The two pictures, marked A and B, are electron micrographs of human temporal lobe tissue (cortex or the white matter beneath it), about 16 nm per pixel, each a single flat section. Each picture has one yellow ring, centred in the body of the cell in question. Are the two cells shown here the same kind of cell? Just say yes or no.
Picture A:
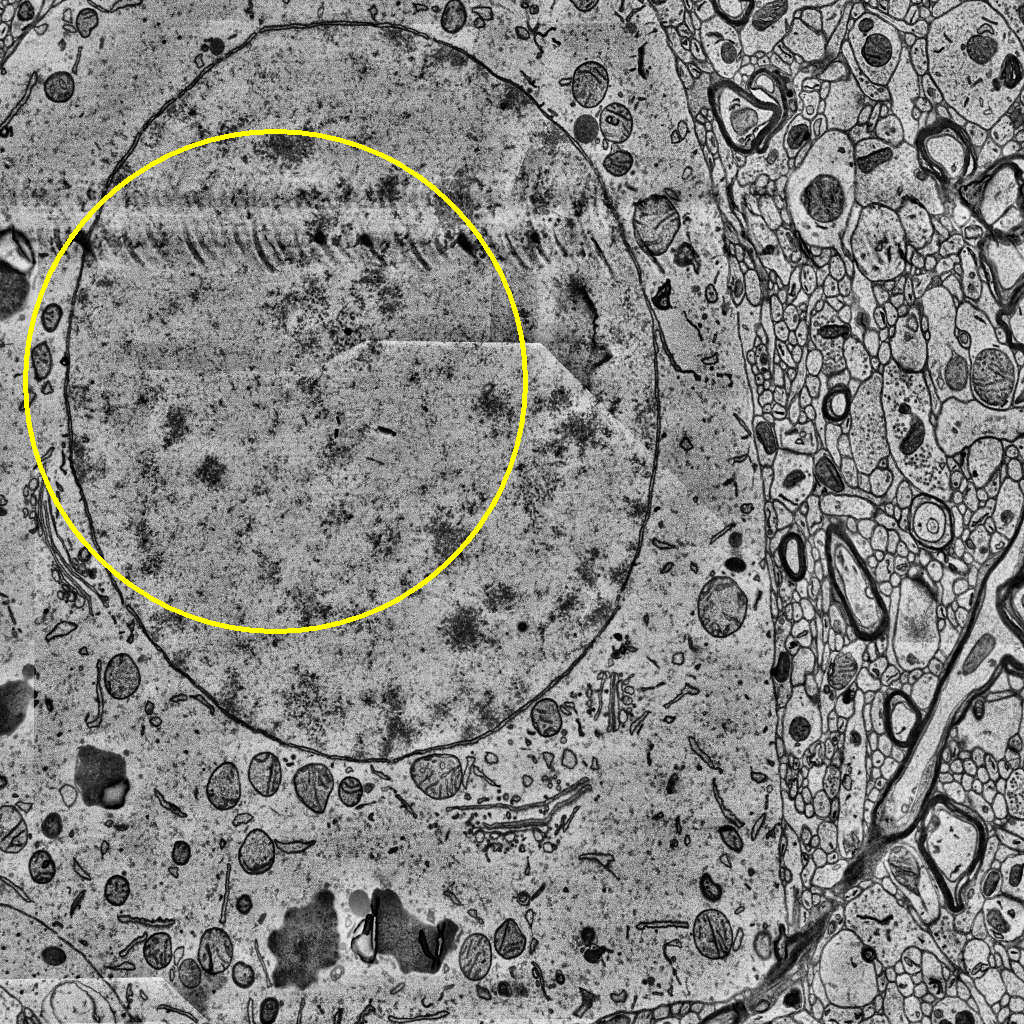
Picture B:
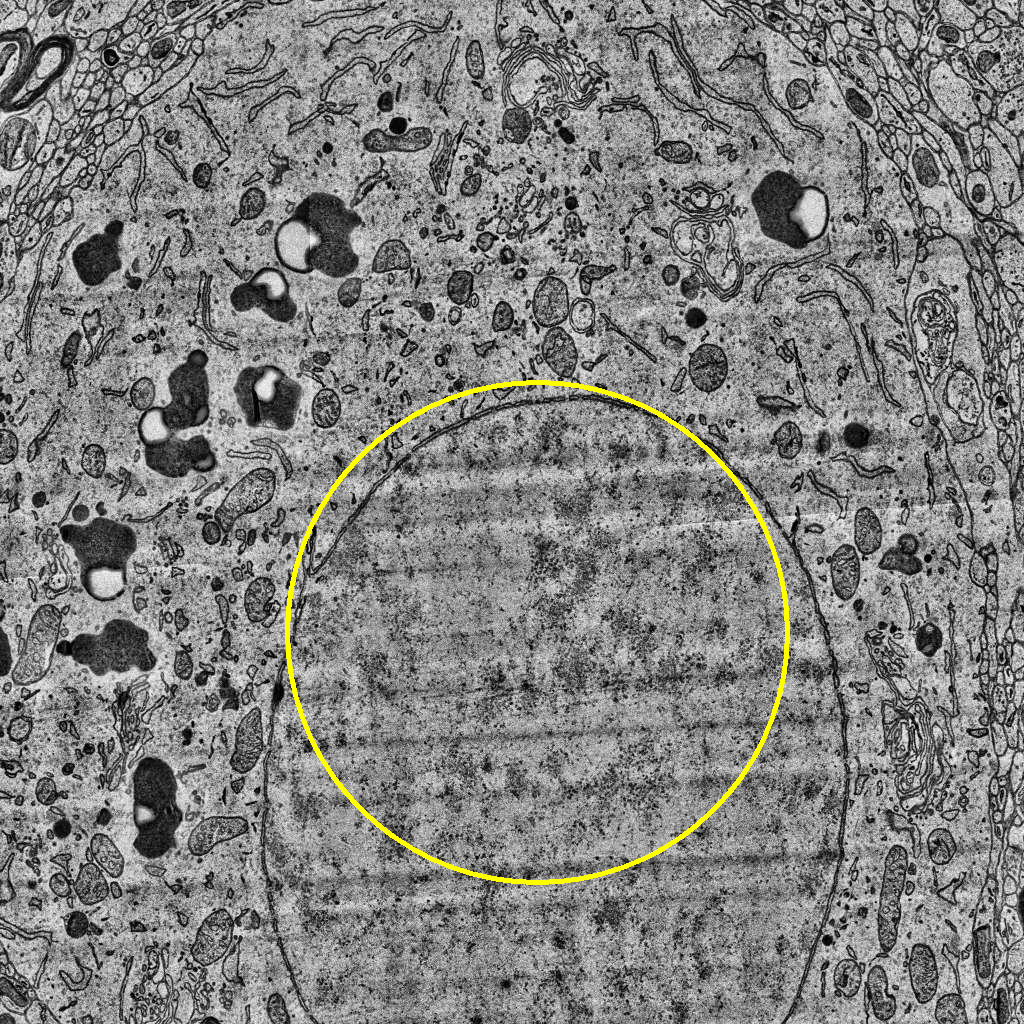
yes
